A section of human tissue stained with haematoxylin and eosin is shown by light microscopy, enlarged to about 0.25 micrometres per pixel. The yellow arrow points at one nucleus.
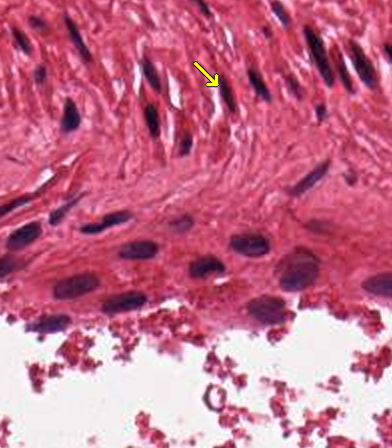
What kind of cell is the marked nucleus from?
smooth muscle cell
